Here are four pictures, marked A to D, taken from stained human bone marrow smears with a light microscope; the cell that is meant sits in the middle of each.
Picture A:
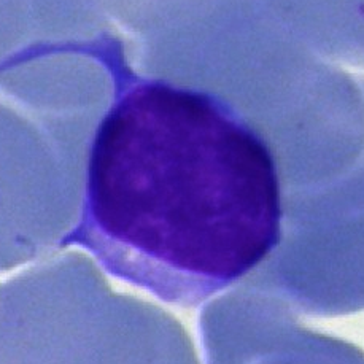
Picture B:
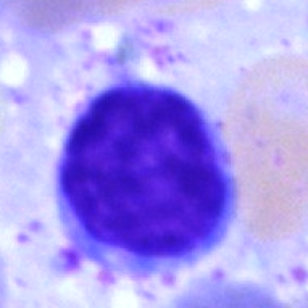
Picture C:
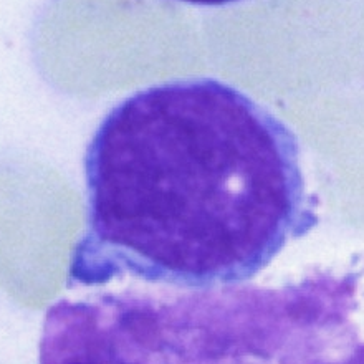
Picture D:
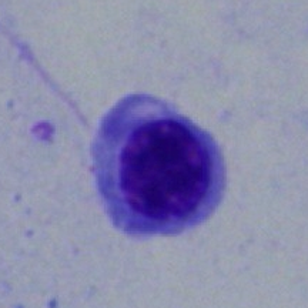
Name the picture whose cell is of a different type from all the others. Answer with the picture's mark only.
D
